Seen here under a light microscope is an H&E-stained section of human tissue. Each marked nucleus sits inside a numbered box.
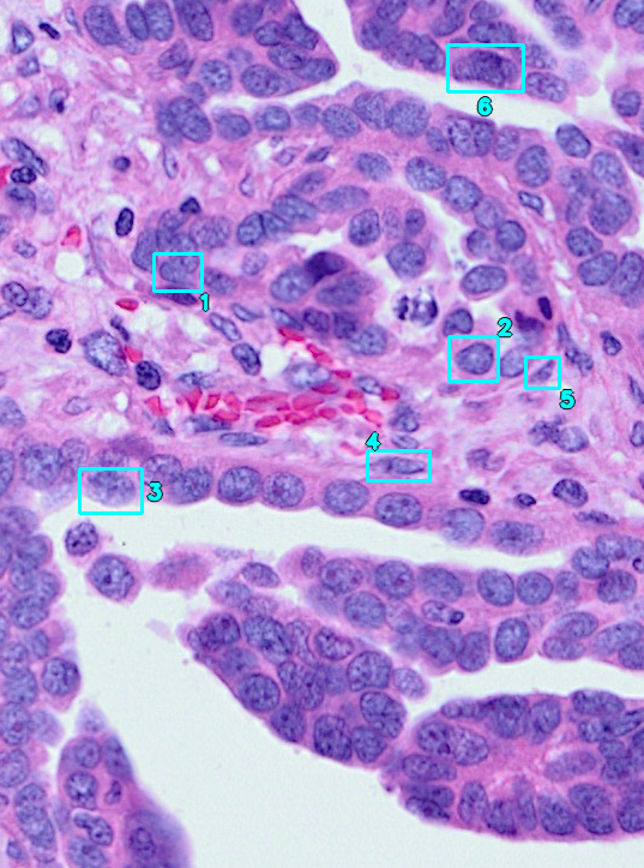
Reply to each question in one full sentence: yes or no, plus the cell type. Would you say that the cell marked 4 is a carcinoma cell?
No, number 4 identifies a fibroblast, not a carcinoma cell.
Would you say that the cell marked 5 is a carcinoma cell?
No, the cell marked 5 is a fibroblast rather than a carcinoma cell.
